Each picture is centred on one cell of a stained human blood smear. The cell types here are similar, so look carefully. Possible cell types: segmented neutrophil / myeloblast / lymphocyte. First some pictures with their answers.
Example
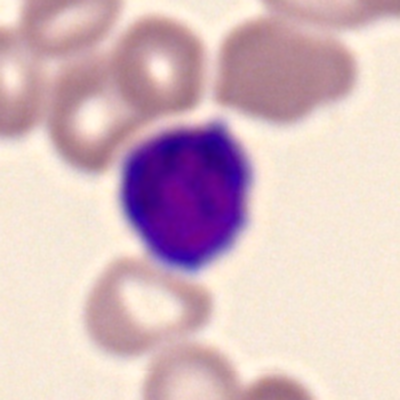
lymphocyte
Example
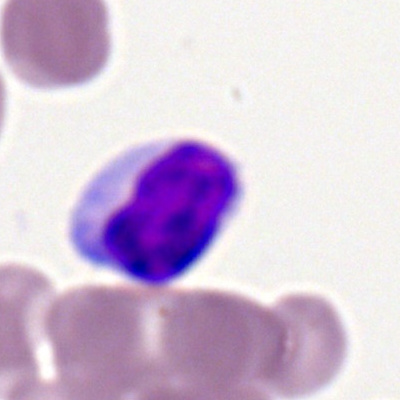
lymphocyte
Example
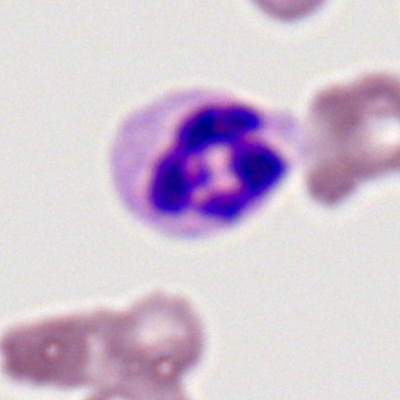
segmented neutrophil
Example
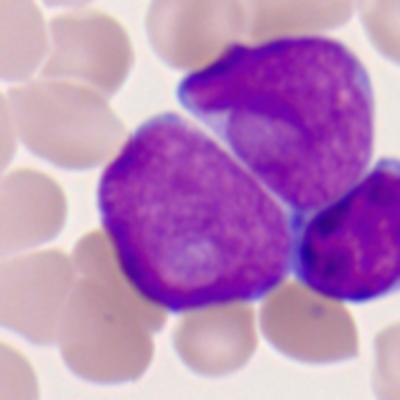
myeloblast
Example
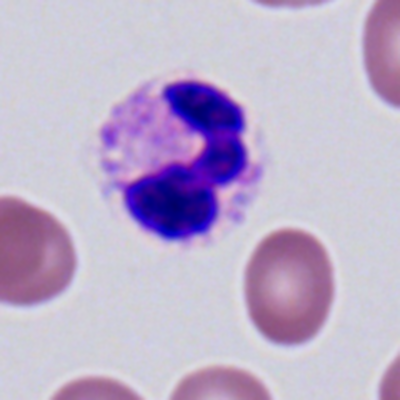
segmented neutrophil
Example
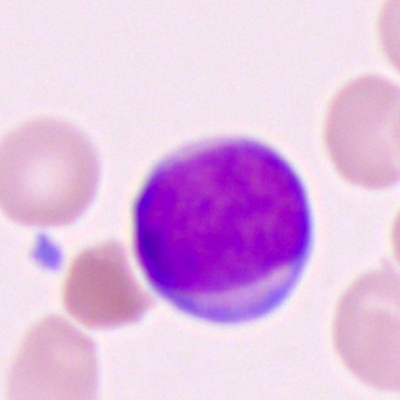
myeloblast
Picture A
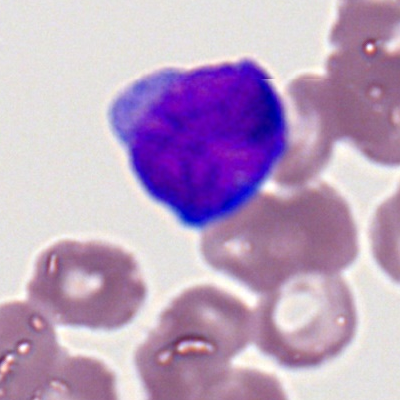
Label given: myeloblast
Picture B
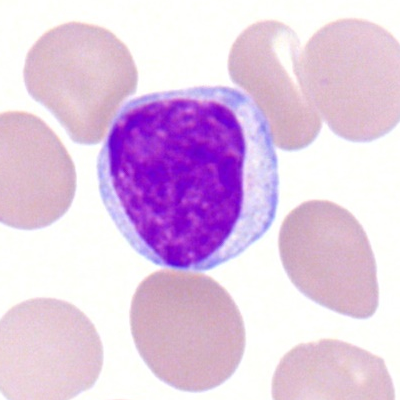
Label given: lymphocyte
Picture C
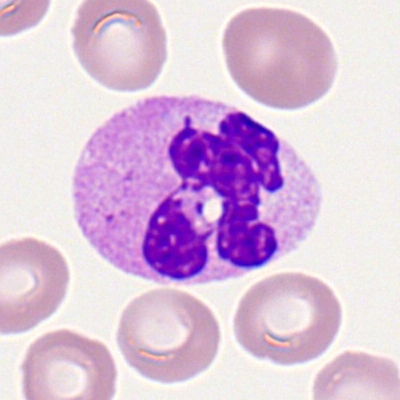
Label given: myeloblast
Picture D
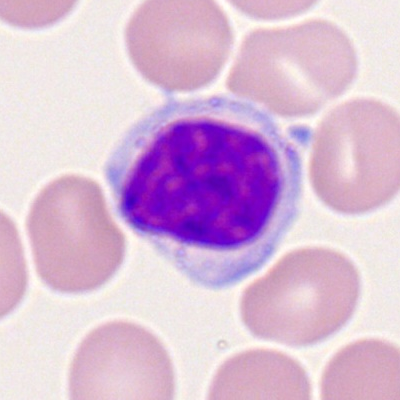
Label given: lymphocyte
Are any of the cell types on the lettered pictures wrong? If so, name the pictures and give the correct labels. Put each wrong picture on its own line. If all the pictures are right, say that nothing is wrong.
C is labelled myeloblast; correct label: segmented neutrophil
